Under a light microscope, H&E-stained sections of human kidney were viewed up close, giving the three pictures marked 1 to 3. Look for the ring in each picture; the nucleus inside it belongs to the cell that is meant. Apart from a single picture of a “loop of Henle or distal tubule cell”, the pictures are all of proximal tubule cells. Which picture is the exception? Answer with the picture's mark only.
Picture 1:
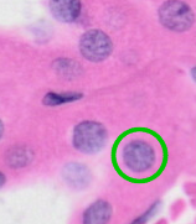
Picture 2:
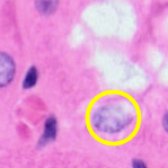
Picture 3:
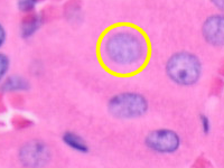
1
